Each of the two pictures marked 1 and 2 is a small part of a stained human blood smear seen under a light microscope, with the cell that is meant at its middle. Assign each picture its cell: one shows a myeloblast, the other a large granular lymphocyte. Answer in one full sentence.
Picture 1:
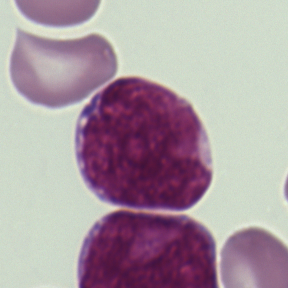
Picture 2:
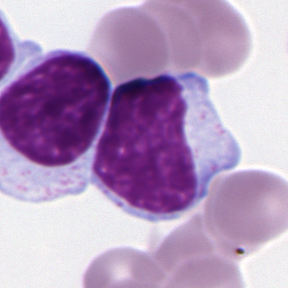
Picture 1 shows a myeloblast and picture 2 shows a large granular lymphocyte.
